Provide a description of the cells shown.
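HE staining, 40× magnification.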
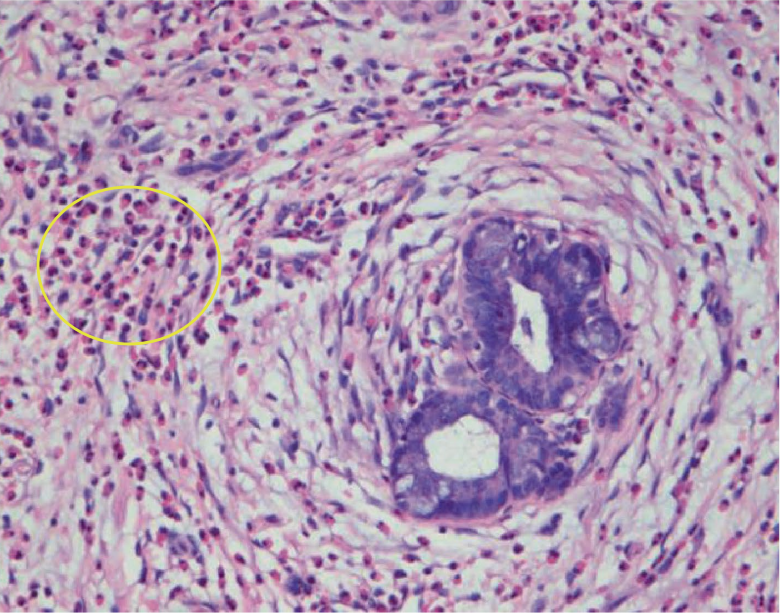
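A small duct lined by dark purple cuboidal to columnar epithelial cells, with crowded nuclei and two open lumina, is encircled by concentric layers of loose pale stroma with spindle-shaped cells. The surrounding stroma is heavily infiltrated by numerous small inflammatory cells with bright red-pink cytoplasm and small dark nuclei, densest in a cluster to the left of the duct.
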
